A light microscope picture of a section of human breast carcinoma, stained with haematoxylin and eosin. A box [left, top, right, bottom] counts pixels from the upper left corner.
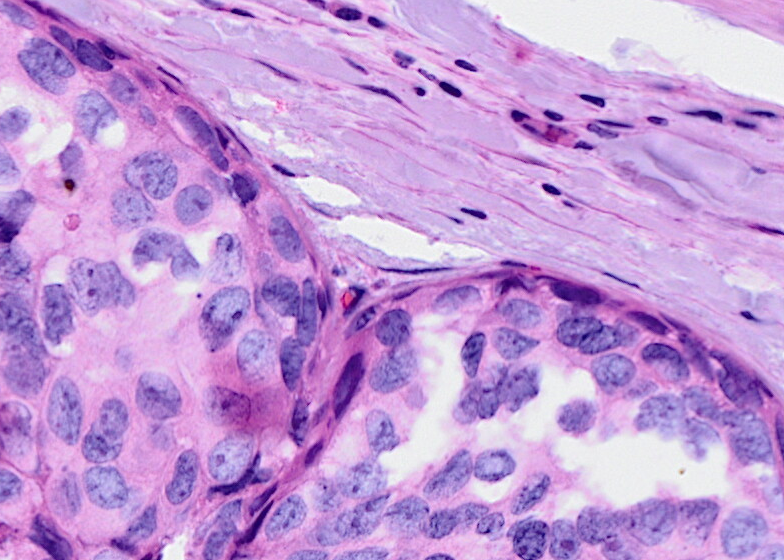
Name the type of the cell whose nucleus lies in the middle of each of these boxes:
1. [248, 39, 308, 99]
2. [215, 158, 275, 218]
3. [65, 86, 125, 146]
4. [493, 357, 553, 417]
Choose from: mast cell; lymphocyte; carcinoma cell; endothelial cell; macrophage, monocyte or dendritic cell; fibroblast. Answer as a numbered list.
1. fibroblast
2. carcinoma cell
3. carcinoma cell
4. carcinoma cell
